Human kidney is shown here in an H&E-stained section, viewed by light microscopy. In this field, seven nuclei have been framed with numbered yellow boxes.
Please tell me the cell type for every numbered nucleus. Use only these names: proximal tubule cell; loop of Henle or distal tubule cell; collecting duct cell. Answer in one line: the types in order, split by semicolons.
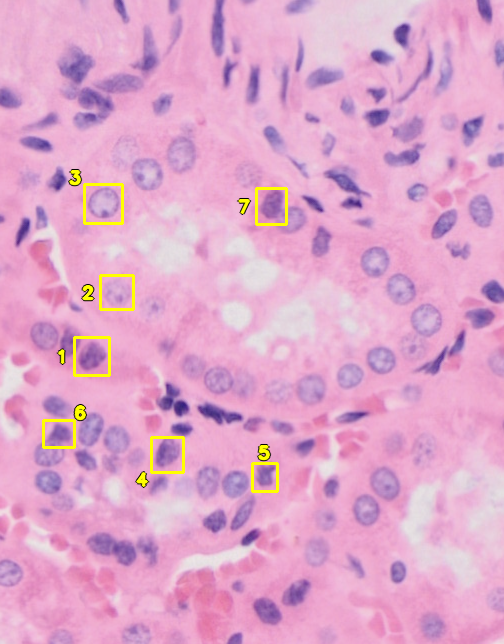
proximal tubule cell; proximal tubule cell; proximal tubule cell; collecting duct cell; loop of Henle or distal tubule cell; collecting duct cell; proximal tubule cell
